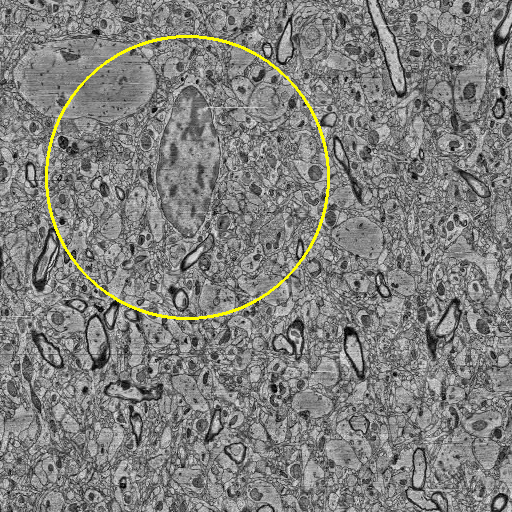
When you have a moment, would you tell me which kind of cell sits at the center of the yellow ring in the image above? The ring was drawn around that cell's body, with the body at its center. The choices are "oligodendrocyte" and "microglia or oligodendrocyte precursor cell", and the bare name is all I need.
microglia or oligodendrocyte precursor cell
